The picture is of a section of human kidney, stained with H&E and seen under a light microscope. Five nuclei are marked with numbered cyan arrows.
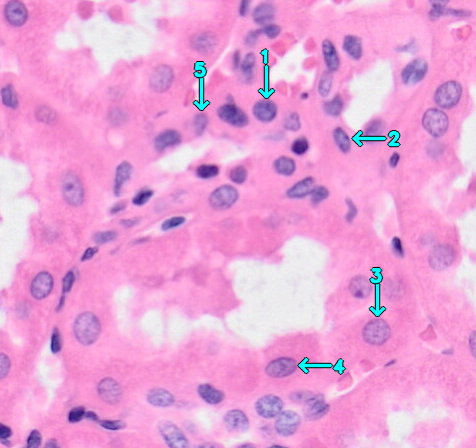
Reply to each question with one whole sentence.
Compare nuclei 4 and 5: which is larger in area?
Nucleus 4 is larger, with an area about 2 times that of nucleus 5.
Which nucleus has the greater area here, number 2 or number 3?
It is nucleus 3, which covers about 2 times the area of nucleus 2.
